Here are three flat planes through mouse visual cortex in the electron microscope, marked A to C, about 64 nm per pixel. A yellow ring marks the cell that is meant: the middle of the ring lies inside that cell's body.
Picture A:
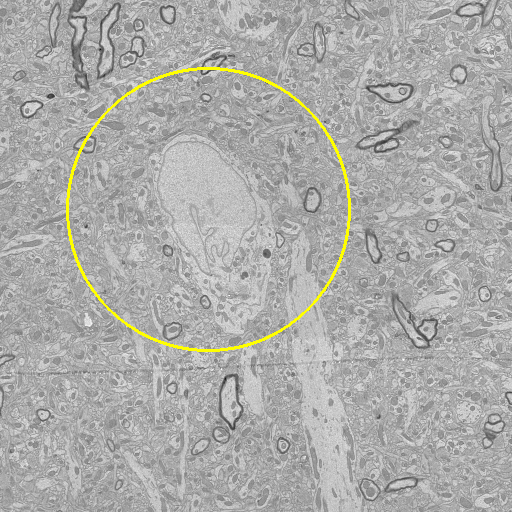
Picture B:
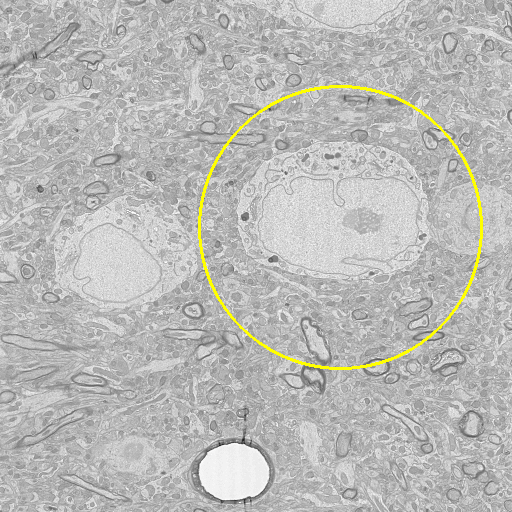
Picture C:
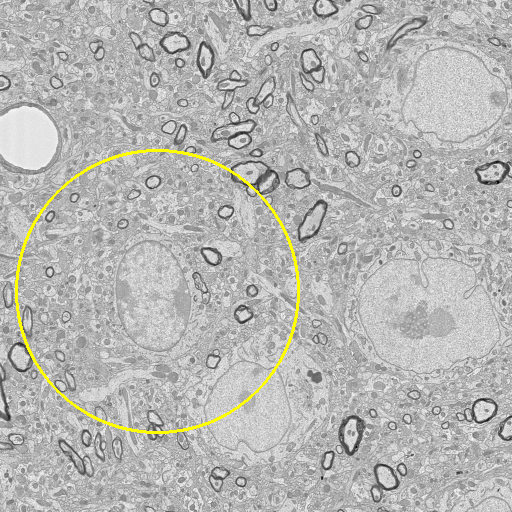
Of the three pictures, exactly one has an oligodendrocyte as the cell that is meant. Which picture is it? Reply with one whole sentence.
Picture C is the one that shows the oligodendrocyte.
